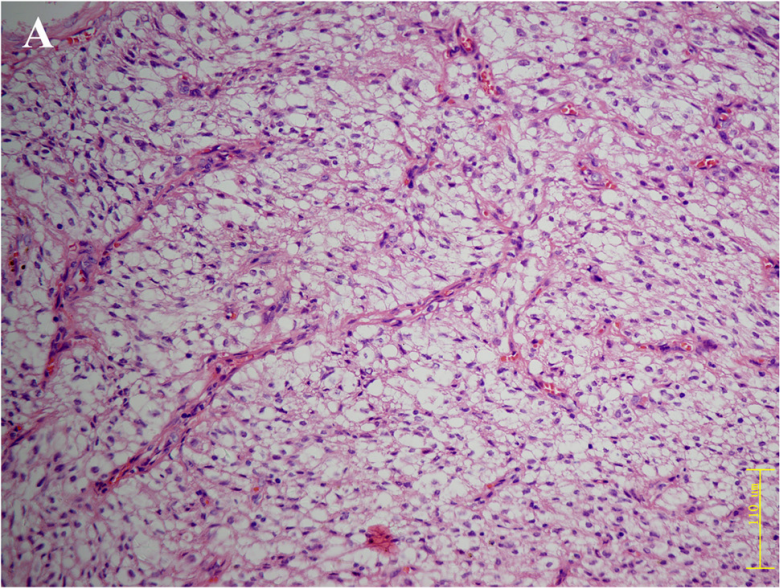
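This is a tumor made of spindled cells mixed with epithelioid cells. Look at the cell shapes: some nuclei are elongated and tapered, lying in loose streams, while others sit in plumper, polygonal cells with rounder nuclei. Most cells have pale, clear cytoplasm, often looking empty or finely vacuolated, with a faint pink tint in places, so the field has a bubbly, washed-out look. Running through the sheet are thin pink strands carrying small blood vessels, some with red blood cells in their lumens, which divide the tumor cells into irregular groups.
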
